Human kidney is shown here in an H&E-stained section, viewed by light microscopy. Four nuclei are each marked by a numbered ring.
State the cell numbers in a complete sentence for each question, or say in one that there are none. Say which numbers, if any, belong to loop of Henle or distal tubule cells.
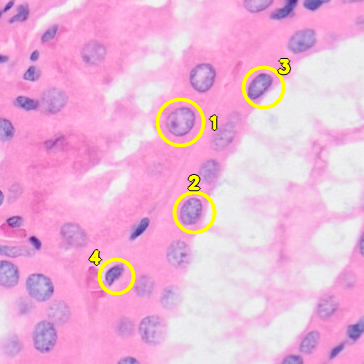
So, the cells with numbers 2 and 3 are loop of Henle or distal tubule cells.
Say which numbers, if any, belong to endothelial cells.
Of those with numbers, only cell 4 is an endothelial cell.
